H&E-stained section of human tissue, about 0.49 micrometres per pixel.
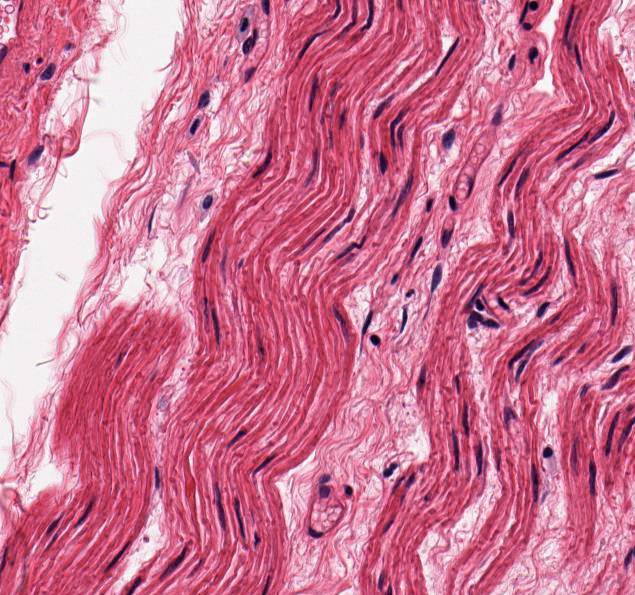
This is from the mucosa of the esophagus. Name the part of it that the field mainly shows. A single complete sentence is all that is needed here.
This section of human tissue is of the part termed smooth muscle.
